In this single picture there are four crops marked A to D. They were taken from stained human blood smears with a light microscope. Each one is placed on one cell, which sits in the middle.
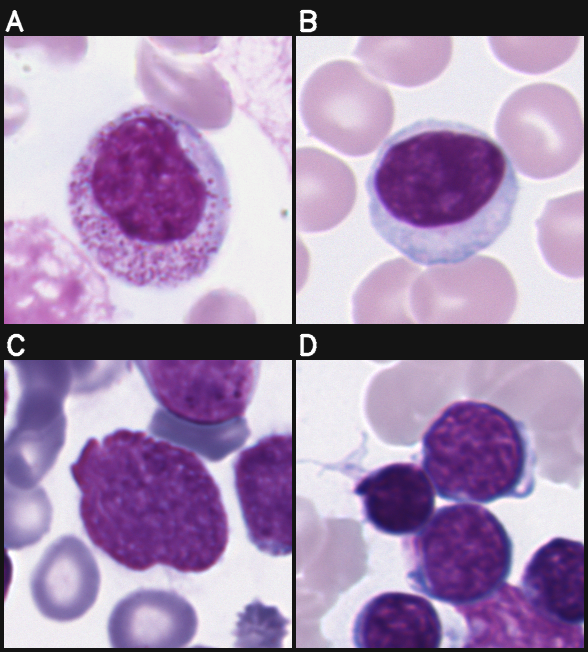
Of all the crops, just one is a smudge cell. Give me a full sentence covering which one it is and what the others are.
On the one hand crop C shows a smudge cell; on the other, crop A is a metamyelocyte, crop B is a typical lymphocyte and crop D is a myeloblast.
